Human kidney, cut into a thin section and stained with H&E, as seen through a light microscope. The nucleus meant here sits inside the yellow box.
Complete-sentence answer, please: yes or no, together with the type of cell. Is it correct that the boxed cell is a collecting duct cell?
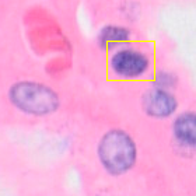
Yes, it holds that the boxed cell is a collecting duct cell.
